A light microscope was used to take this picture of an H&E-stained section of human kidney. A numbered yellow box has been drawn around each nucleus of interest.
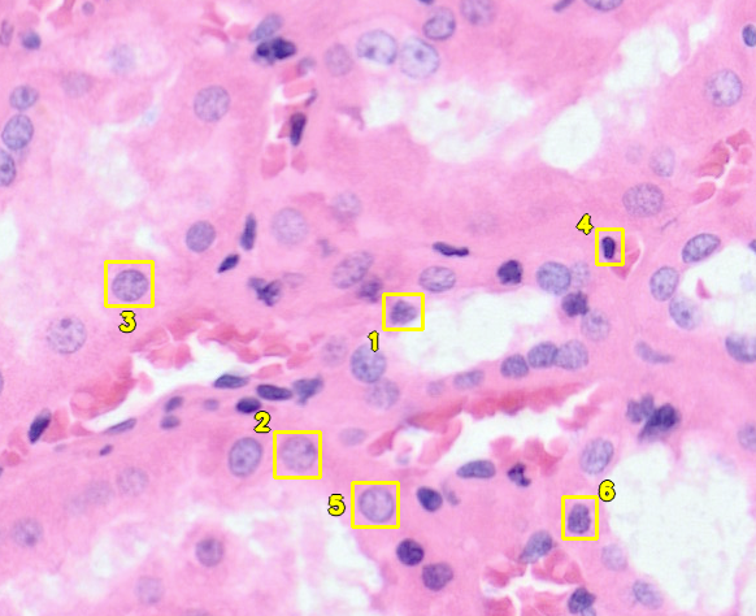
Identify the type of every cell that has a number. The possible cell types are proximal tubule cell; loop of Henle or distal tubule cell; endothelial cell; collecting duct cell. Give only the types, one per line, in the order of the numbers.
loop of Henle or distal tubule cell
proximal tubule cell
proximal tubule cell
endothelial cell
proximal tubule cell
loop of Henle or distal tubule cell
